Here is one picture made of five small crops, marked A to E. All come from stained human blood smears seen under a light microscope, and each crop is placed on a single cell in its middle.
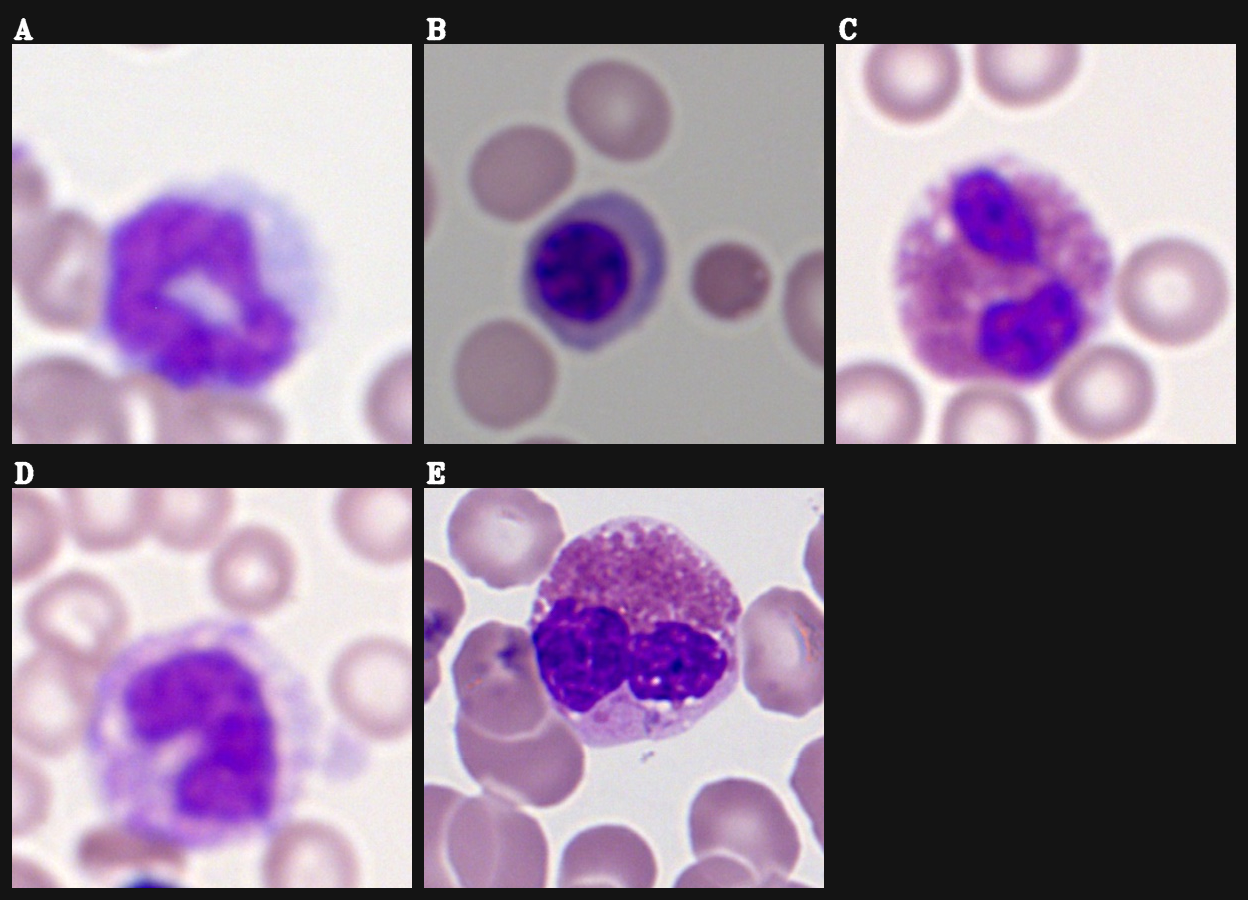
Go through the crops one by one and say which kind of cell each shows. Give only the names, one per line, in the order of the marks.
monocyte
erythroblast
eosinophil
band neutrophil
eosinophil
